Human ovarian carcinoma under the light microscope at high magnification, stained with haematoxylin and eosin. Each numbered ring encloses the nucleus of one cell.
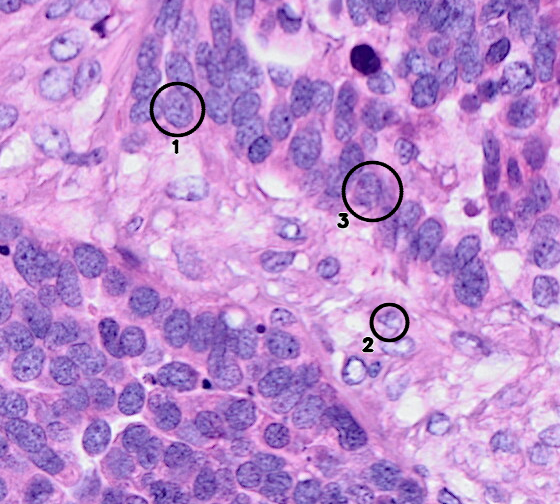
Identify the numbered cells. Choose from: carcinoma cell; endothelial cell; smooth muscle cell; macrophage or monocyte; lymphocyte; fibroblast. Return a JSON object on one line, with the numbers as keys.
{"1": "carcinoma cell", "2": "fibroblast", "3": "carcinoma cell"}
